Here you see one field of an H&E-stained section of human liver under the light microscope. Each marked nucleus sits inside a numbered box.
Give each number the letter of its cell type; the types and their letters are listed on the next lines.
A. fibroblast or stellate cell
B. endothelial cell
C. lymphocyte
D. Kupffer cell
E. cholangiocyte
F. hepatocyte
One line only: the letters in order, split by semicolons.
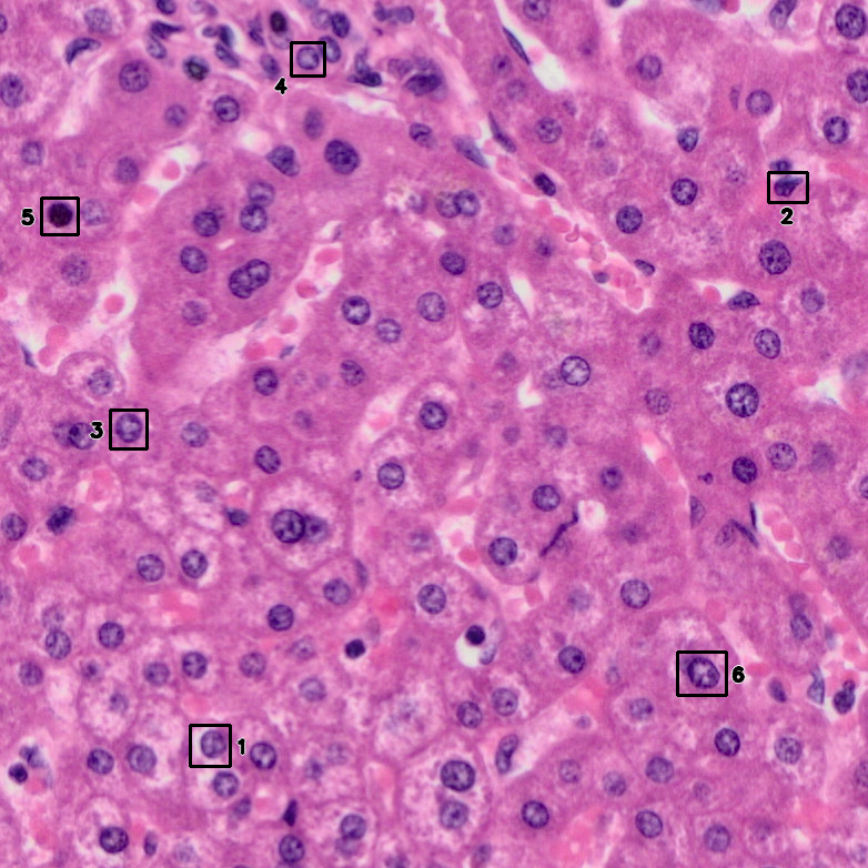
F; B; F; E; F; F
